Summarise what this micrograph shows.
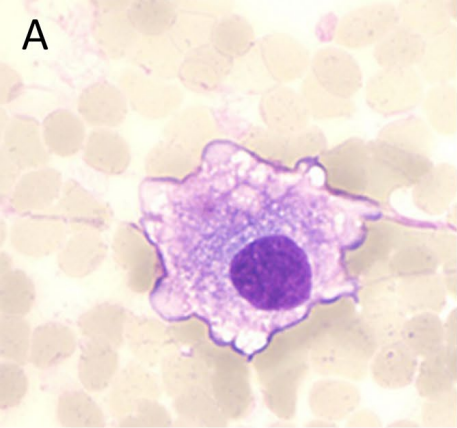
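This smear shows a single large macrophage lying among crowded red blood cells. The macrophage has one round, dark purple nucleus set in a wide rim of pale violet cytoplasm that is full of small vacuoles and fine granules. Its outline is irregular, with short projections, and it is many times the size of the pale, anucleate red cells that fill the rest of the field.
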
